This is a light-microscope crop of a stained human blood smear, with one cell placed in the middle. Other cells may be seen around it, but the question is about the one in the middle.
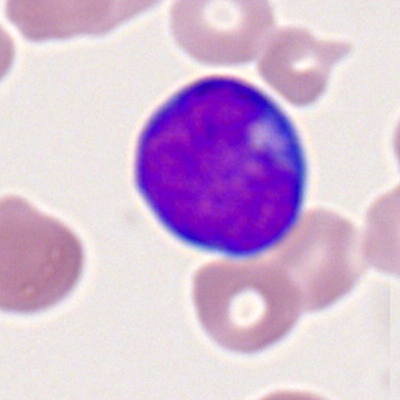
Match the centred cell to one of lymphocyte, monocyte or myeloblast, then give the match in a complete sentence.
The cell the crop is centered on is a myeloblast.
